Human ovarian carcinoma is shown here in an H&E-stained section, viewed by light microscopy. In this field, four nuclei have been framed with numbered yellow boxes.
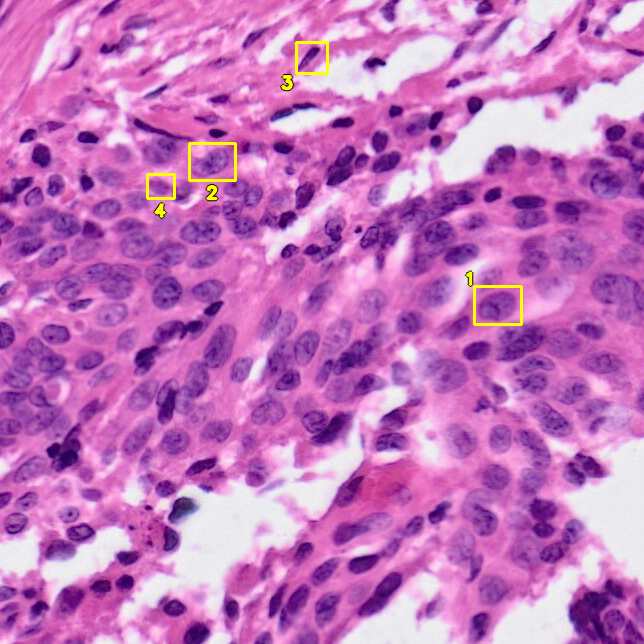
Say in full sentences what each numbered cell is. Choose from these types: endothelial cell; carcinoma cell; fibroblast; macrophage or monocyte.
Cells 1, 2 and 4 are carcinoma cells. Cell 3 is a fibroblast.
